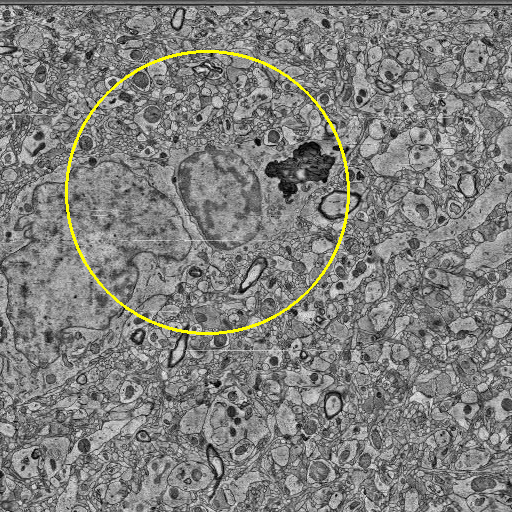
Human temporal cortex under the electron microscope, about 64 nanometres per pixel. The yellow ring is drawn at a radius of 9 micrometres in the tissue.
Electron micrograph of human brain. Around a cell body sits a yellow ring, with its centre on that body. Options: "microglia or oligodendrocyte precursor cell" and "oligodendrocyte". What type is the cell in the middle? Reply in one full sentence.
The cell sitting at the centre of the yellow ring is an oligodendrocyte.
